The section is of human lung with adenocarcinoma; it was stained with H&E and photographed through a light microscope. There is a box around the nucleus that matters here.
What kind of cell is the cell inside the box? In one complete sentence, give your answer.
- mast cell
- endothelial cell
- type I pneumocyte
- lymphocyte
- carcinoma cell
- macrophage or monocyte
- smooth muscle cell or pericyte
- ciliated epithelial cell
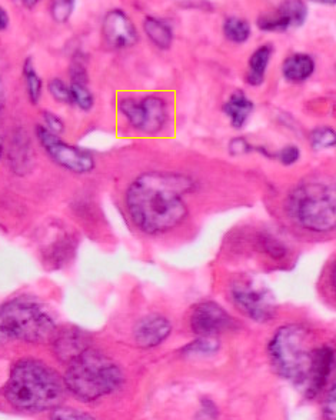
For cell typing purposes, the cell inside the box is a macrophage or monocyte.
